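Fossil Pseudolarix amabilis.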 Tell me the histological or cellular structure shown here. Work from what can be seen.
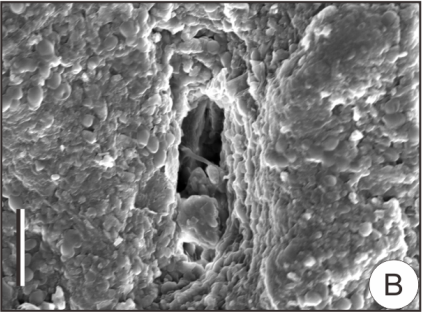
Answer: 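A slit-like opening lies in the middle of the surface. The opening sits in a depression below the surrounding surface. Ridged cuticle encircles the pit. That points to this answer: sunken stomatal apparatus.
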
